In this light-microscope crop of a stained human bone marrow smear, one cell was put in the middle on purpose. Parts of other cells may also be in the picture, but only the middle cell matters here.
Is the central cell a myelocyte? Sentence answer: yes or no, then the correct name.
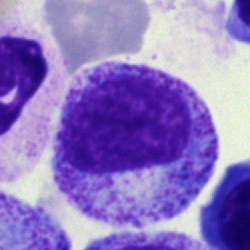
Yes, the middle cell of the field is a myelocyte.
